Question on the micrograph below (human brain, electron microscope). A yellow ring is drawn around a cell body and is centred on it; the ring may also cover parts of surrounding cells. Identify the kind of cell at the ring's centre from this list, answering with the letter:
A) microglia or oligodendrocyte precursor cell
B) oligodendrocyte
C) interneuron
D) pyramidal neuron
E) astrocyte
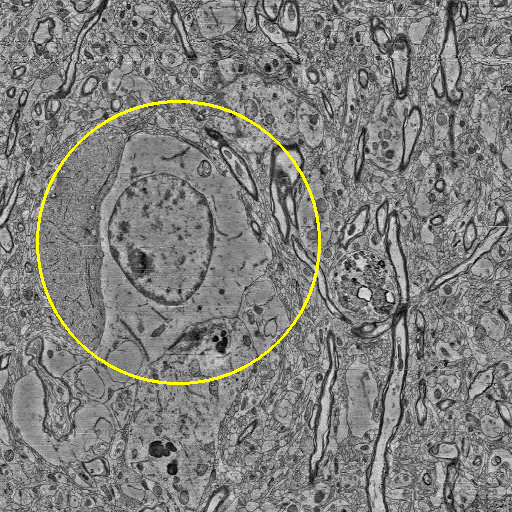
E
